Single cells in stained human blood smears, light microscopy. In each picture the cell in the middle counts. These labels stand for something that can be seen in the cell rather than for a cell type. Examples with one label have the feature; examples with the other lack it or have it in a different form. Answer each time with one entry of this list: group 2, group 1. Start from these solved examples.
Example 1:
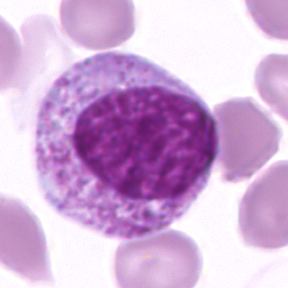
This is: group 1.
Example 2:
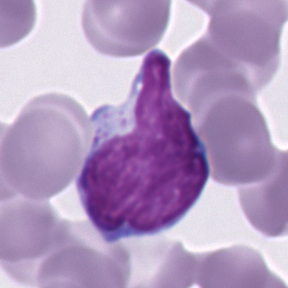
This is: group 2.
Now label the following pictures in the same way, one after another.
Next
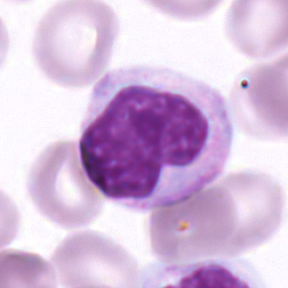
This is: group 1.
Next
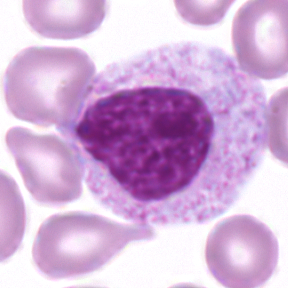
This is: group 1.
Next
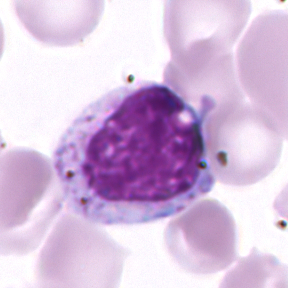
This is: group 2.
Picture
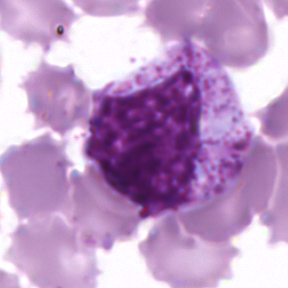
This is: group 1.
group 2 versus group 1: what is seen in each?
Seen in group 2: scant cytoplasm; seen in group 1: abundant cytoplasm.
